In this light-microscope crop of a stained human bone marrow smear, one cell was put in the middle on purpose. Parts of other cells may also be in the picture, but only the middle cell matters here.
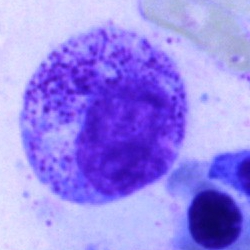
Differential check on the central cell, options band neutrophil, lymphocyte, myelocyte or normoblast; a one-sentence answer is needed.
Here the centrally located cell is a myelocyte.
